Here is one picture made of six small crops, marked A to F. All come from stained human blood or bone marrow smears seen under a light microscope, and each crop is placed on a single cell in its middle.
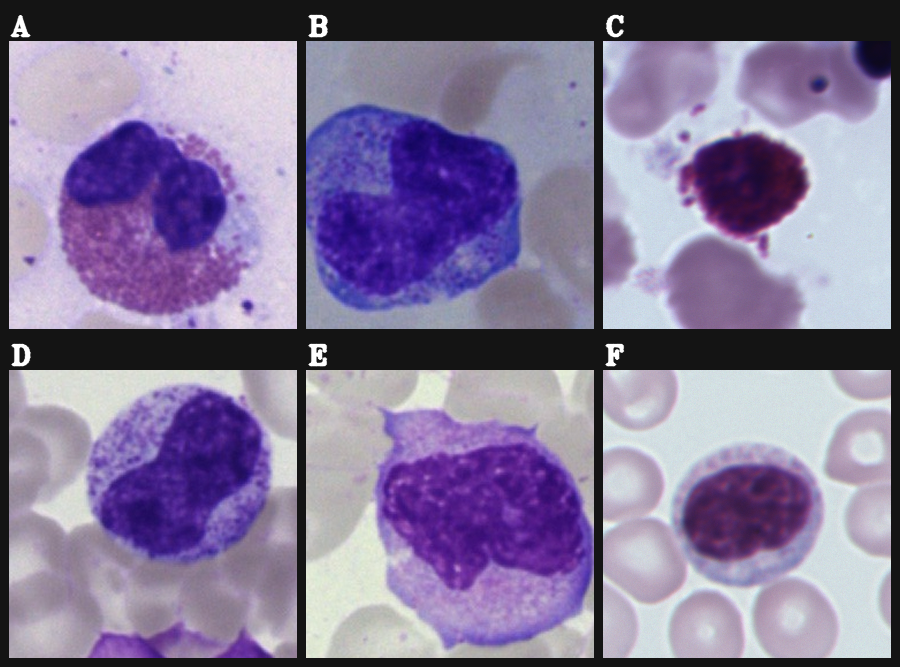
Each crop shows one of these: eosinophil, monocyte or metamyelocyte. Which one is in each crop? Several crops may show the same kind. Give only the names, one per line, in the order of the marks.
eosinophil
monocyte
eosinophil
metamyelocyte
monocyte
metamyelocyte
